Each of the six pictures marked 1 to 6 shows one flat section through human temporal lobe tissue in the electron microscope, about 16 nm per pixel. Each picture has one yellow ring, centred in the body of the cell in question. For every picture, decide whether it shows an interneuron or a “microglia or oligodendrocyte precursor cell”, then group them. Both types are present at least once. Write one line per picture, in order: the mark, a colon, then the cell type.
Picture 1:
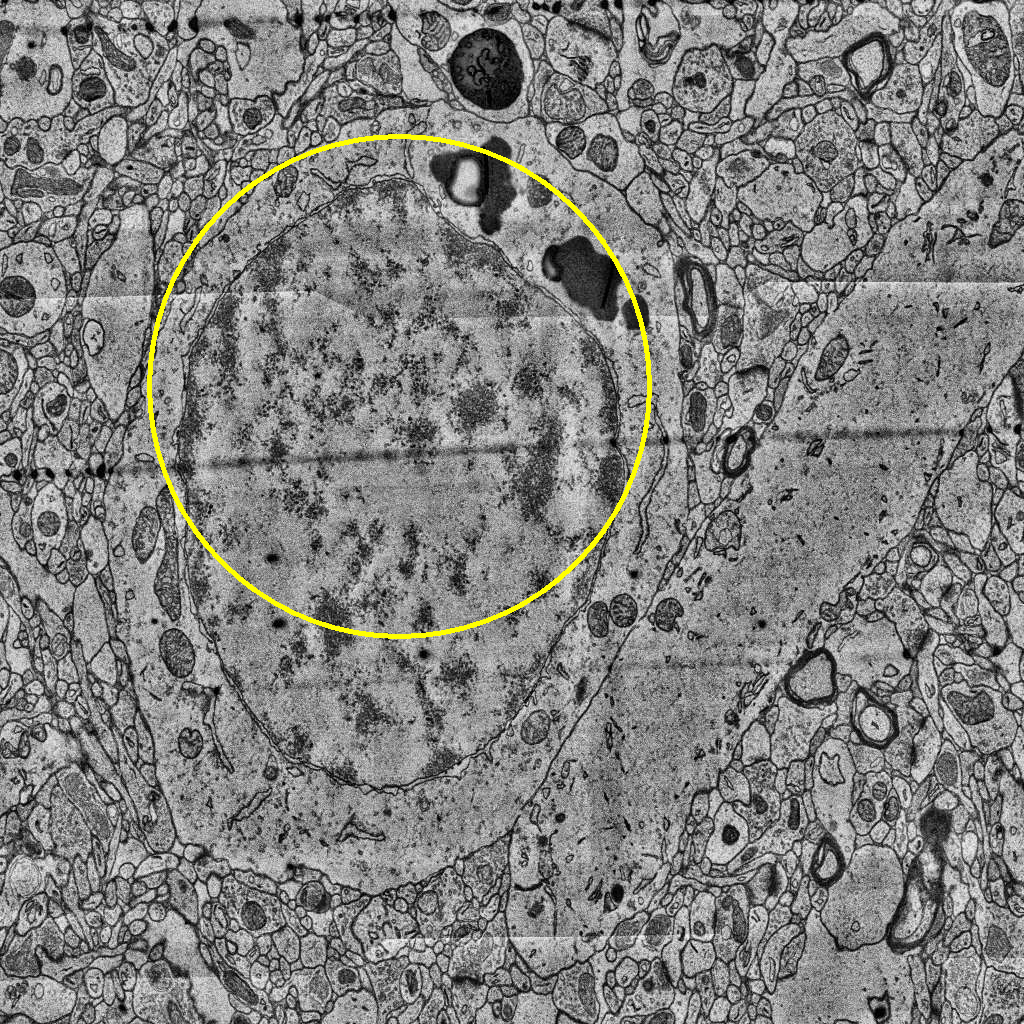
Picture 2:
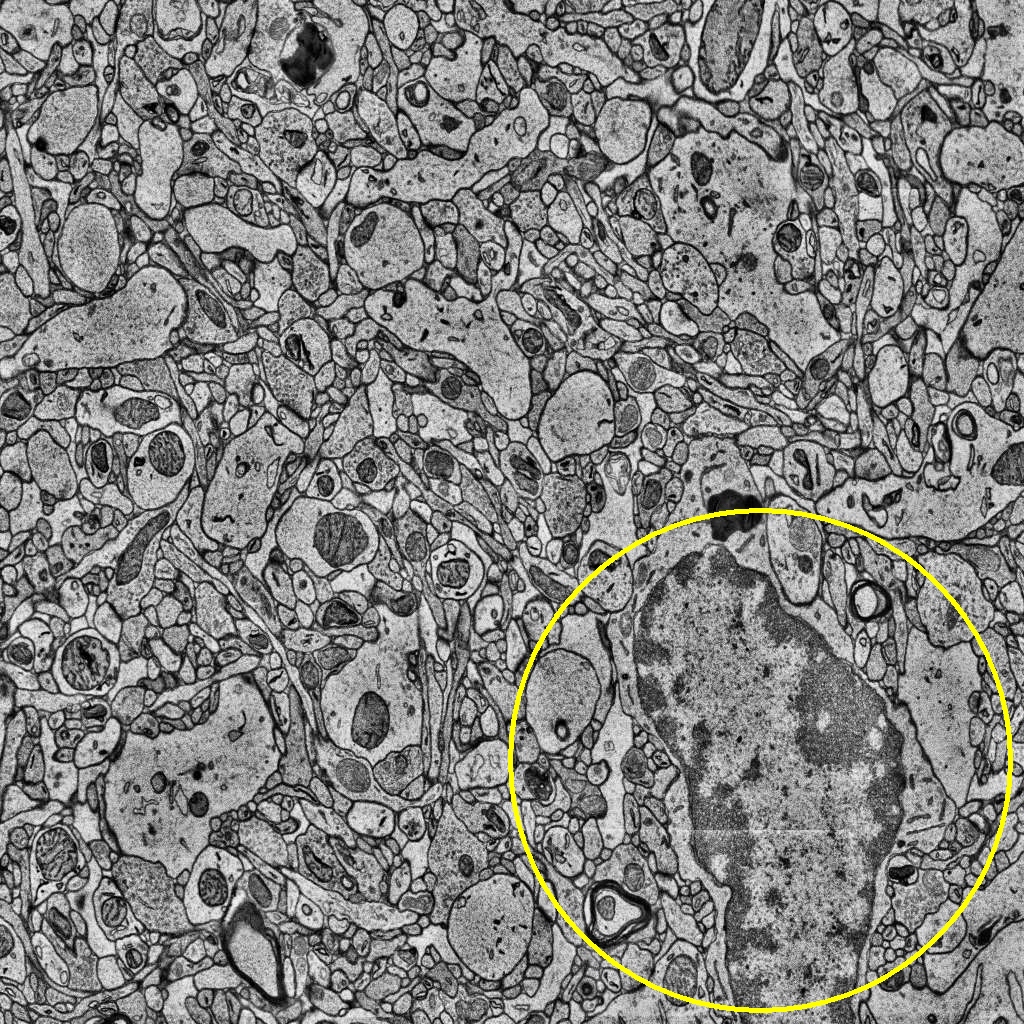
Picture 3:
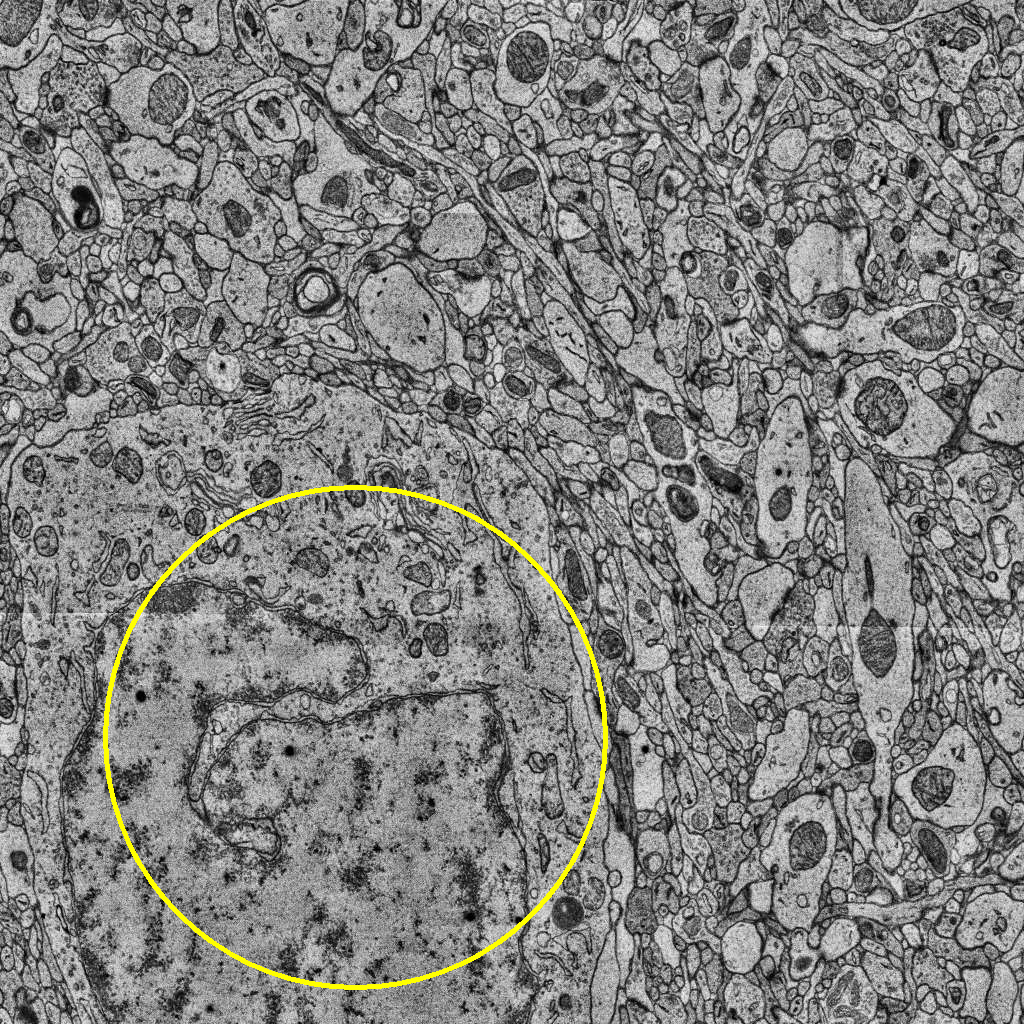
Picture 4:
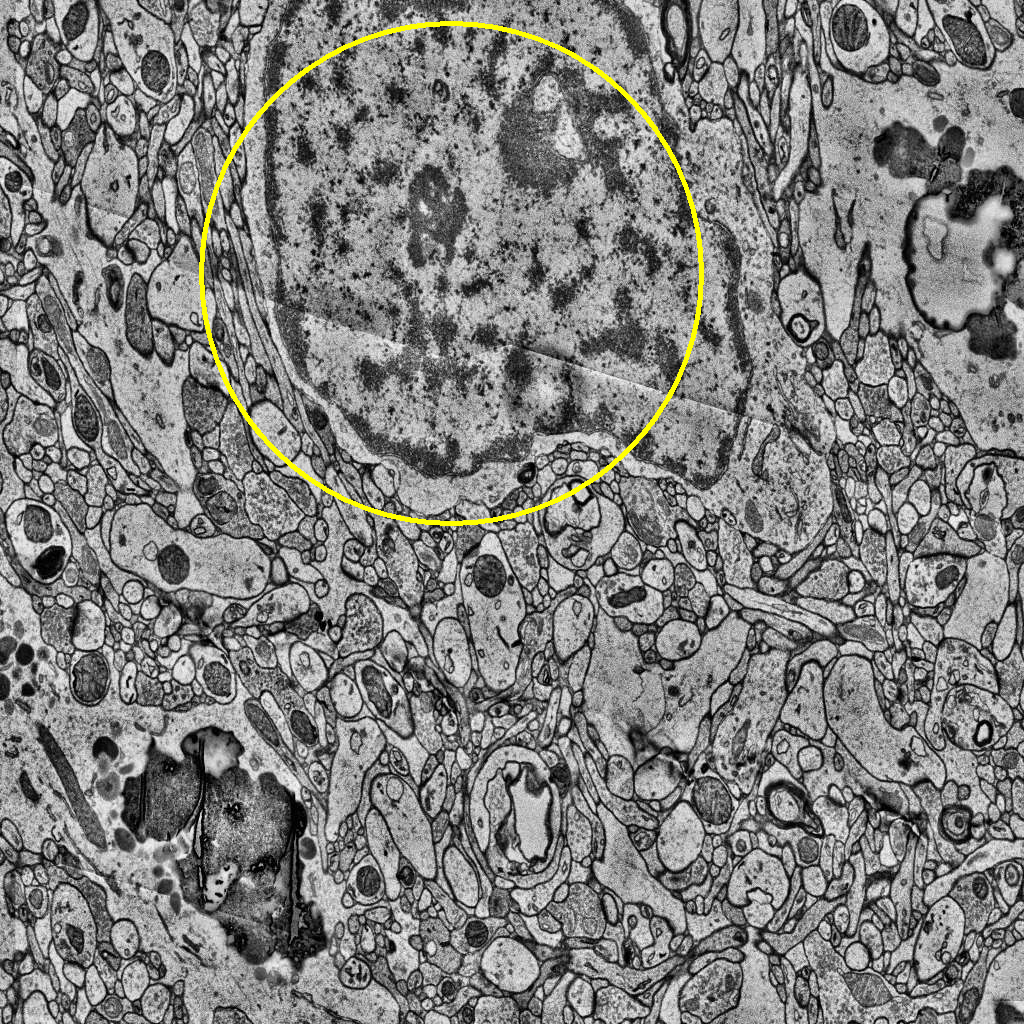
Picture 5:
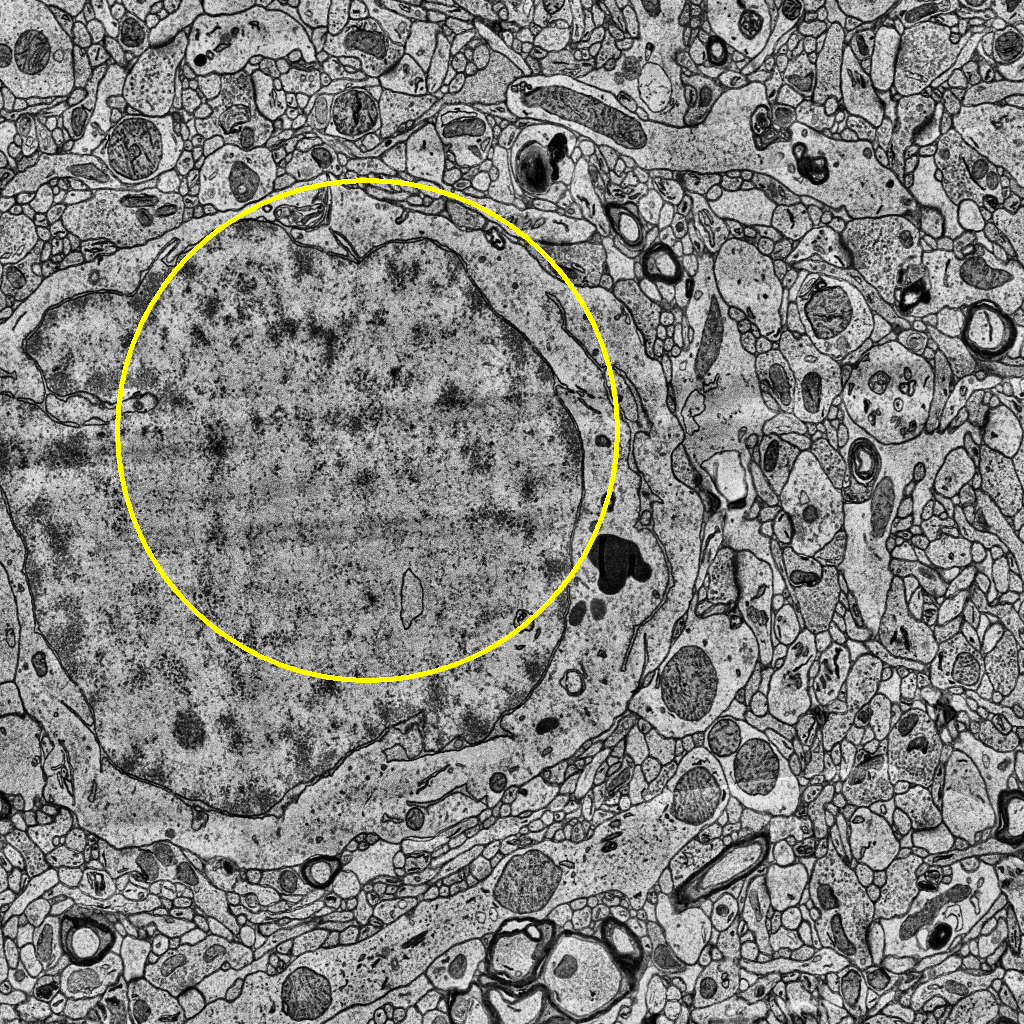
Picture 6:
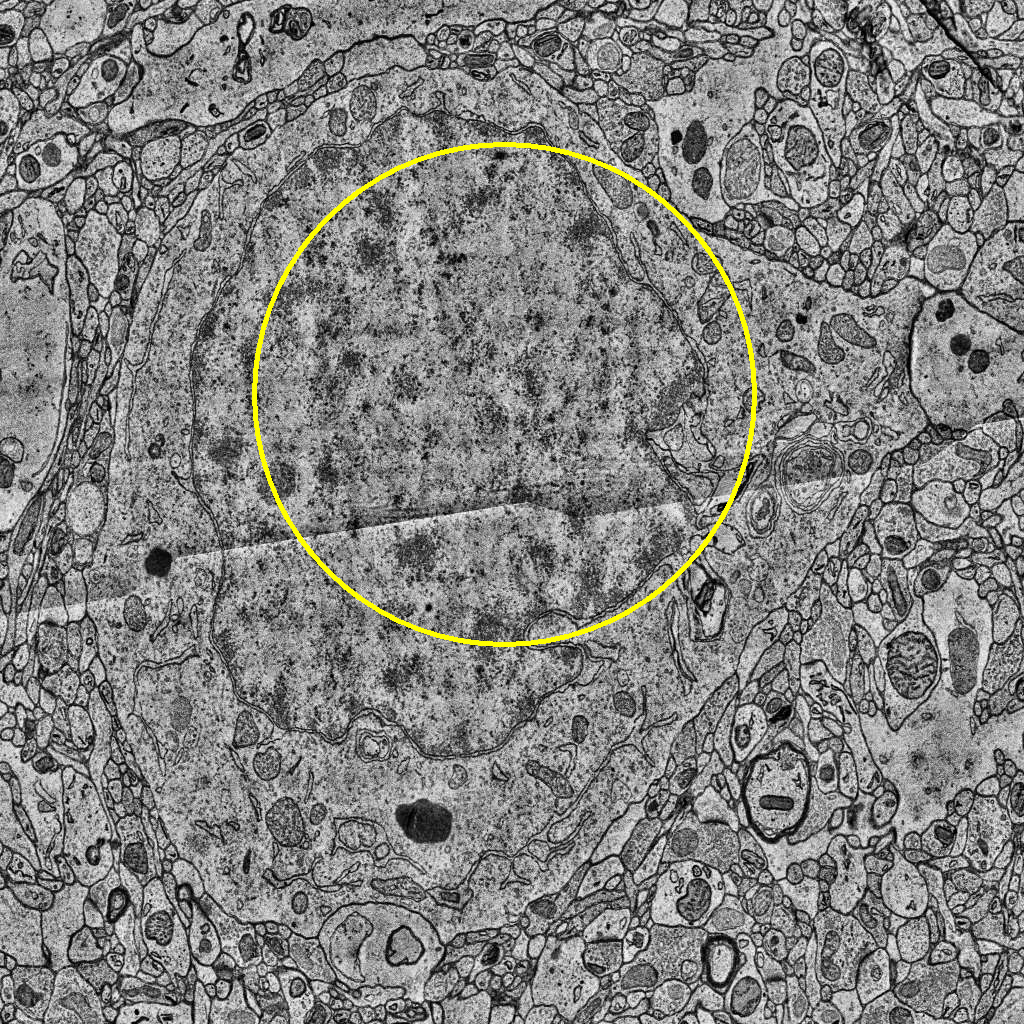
1: interneuron
2: microglia or oligodendrocyte precursor cell
3: interneuron
4: microglia or oligodendrocyte precursor cell
5: interneuron
6: interneuron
